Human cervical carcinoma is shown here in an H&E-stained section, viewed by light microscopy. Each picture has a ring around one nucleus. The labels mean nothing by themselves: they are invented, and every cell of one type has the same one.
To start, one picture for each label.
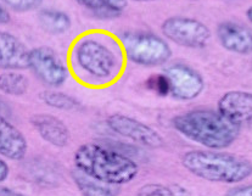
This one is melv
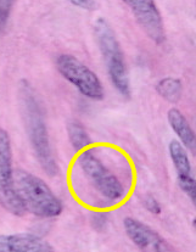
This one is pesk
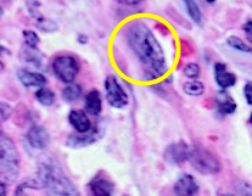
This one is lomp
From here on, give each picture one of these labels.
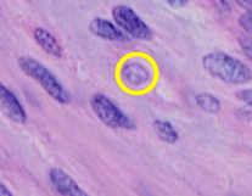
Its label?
lomp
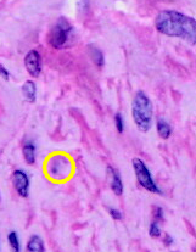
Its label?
pesk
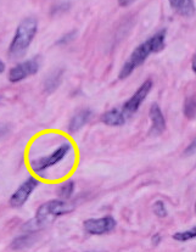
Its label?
pesk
